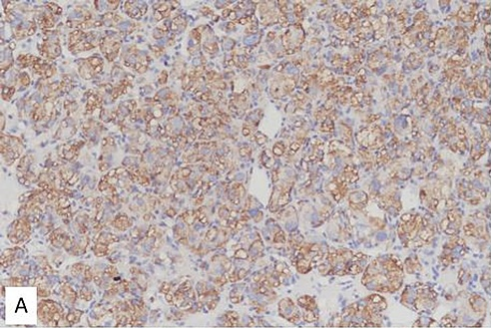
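Tumor cells are arranged in rounded nests and small clusters, separated by thin strands of stroma carrying small vessels. The cells are polygonal, with moderate amounts of cytoplasm that takes up a fine brown stain. The stain is often heavier at the cell borders and is interrupted by clear vacuoles. The stroma between the nests holds elongated blue nuclei and is largely unstained. Small open vascular spaces lie among the nests, giving the tissue a lobulated, nested pattern.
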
